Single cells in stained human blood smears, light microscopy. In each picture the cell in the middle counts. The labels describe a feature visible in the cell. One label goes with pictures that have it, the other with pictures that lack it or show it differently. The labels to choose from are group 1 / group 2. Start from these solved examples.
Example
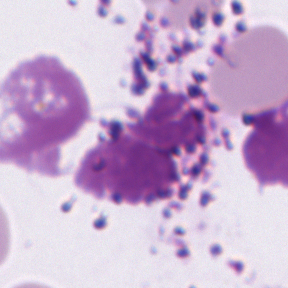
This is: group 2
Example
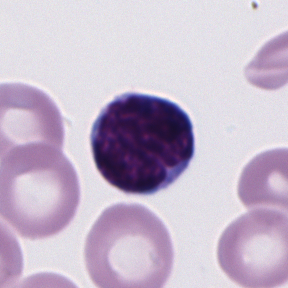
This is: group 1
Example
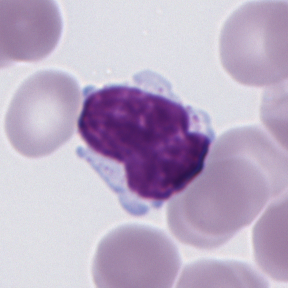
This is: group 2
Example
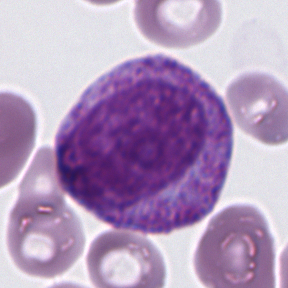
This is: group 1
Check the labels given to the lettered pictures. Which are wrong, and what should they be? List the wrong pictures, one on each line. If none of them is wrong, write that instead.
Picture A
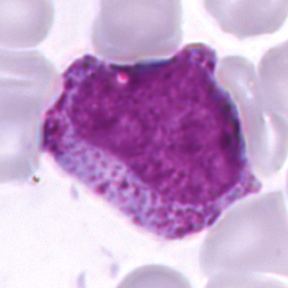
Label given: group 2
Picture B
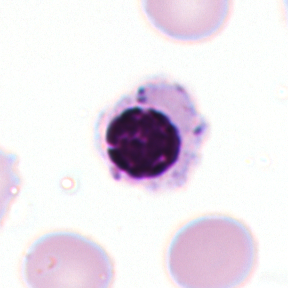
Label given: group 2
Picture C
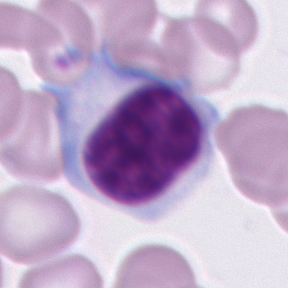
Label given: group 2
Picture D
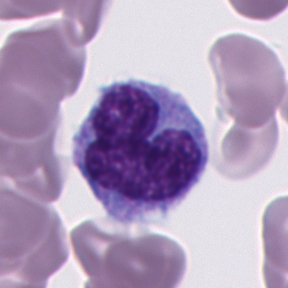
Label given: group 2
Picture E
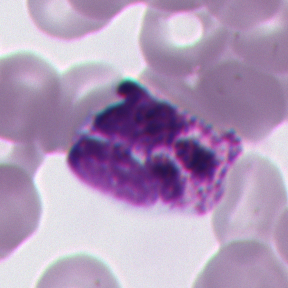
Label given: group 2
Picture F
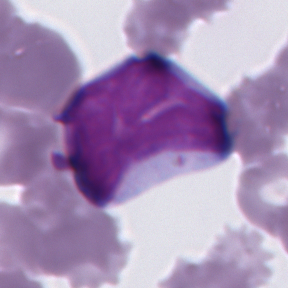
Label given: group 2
All labels are correct.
